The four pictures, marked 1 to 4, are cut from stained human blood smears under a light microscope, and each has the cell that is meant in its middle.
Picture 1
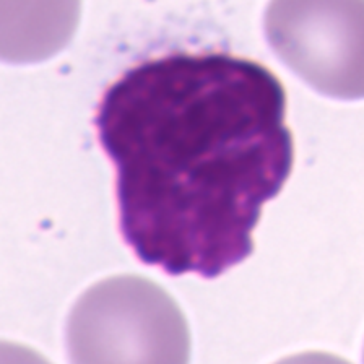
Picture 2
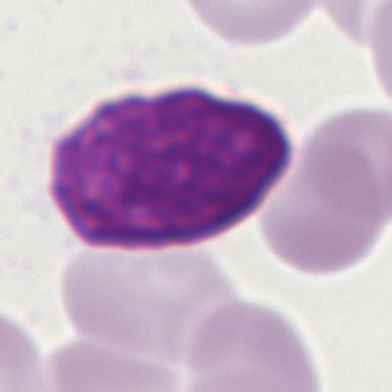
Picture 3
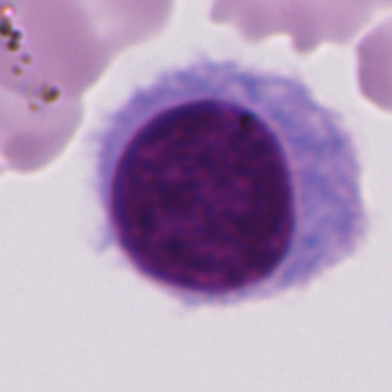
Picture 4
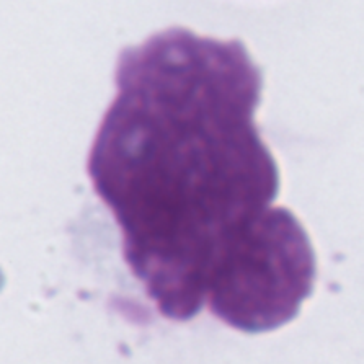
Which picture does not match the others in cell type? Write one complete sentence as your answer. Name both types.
Picture 3 is the odd one out: it shows a hairy cell, while the others show smudge cells.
